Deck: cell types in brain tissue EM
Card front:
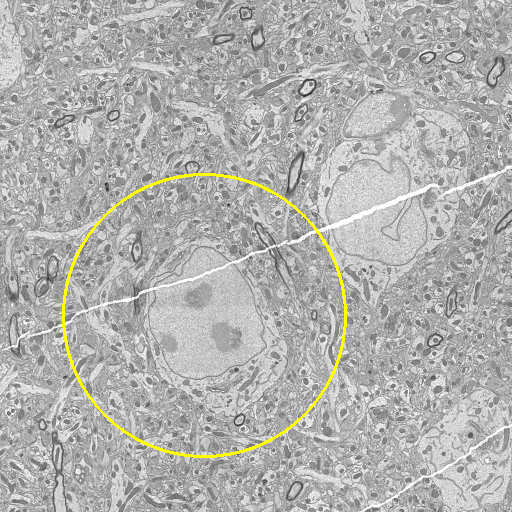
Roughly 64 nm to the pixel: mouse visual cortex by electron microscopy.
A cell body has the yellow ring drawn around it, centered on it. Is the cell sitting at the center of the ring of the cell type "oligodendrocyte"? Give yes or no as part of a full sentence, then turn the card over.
No, on this card the yellow ring is centered on a cell of a different type.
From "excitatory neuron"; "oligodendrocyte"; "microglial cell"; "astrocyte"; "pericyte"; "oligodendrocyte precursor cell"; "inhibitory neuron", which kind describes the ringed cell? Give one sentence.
The ring holds an excitatory neuron at its centre.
